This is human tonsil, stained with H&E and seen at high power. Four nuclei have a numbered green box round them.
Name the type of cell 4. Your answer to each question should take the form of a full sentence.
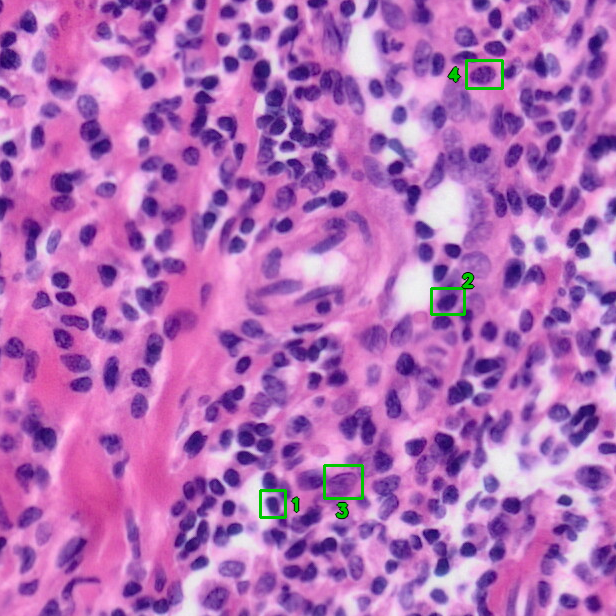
The nucleus labeled 4 belongs to an endothelial cell.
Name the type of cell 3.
Cell 3 in the field is an endothelial cell.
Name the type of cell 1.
The cell to which the number 1 is assigned is a small lymphocyte.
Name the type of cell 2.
The numeral 2 marks an endothelial cell in this section.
